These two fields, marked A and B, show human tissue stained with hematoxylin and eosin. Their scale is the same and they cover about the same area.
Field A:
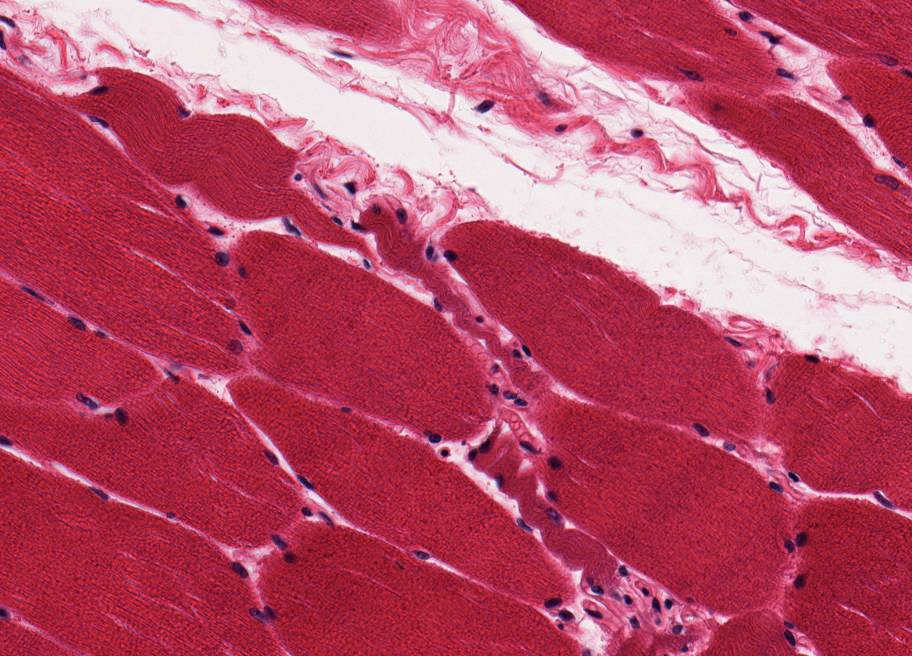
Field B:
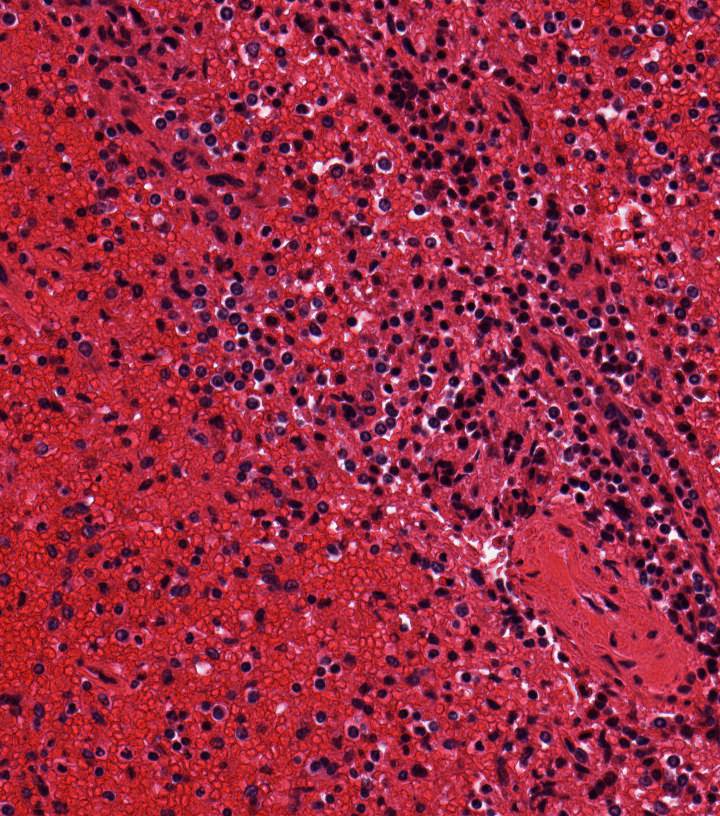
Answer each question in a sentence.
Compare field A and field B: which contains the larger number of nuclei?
It is field B that has more nuclei in it.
